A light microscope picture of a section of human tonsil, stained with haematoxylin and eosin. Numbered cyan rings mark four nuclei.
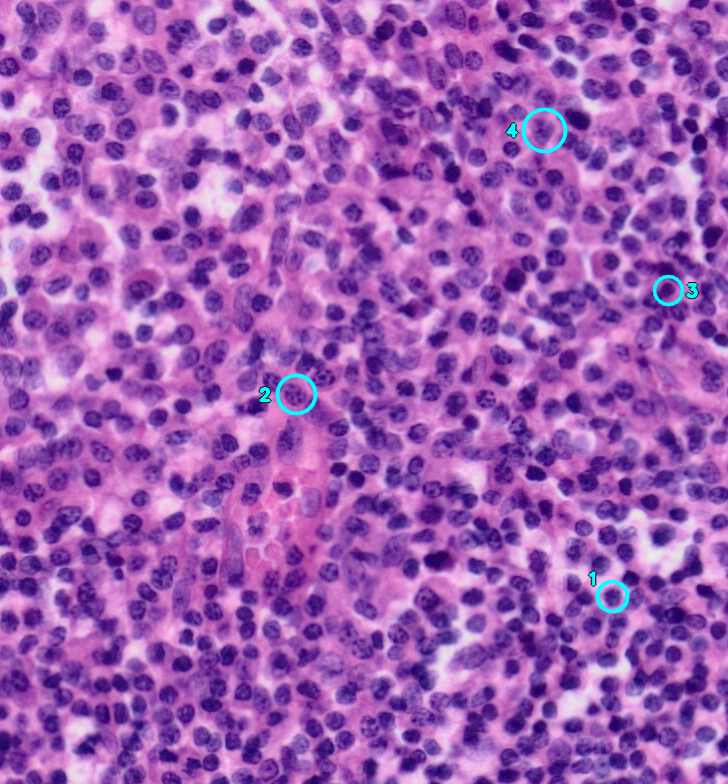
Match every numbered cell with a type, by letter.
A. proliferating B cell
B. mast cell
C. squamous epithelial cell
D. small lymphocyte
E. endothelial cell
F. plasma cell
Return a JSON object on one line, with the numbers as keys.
{"1": "D", "2": "F", "3": "F", "4": "F"}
